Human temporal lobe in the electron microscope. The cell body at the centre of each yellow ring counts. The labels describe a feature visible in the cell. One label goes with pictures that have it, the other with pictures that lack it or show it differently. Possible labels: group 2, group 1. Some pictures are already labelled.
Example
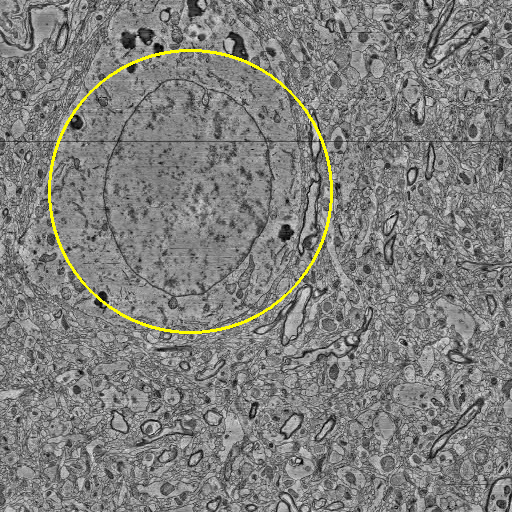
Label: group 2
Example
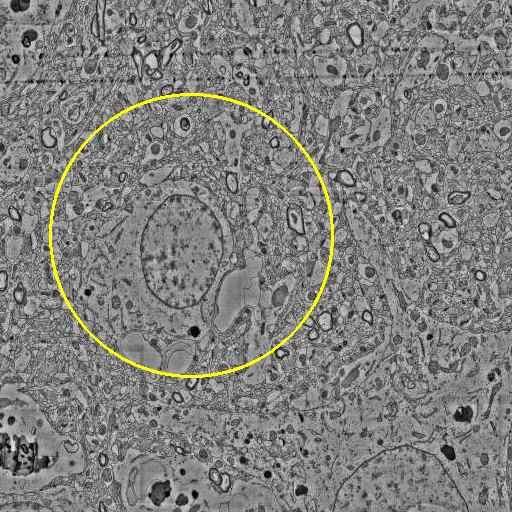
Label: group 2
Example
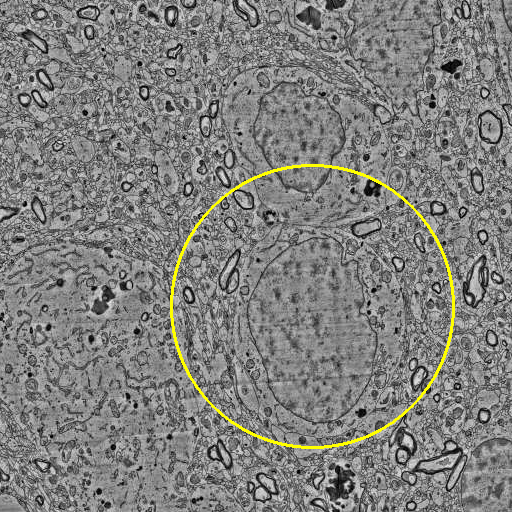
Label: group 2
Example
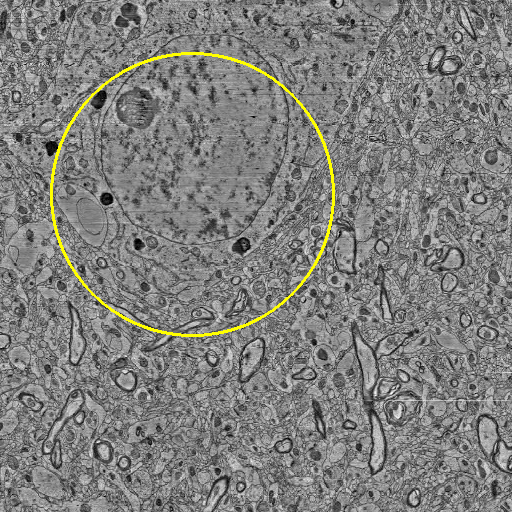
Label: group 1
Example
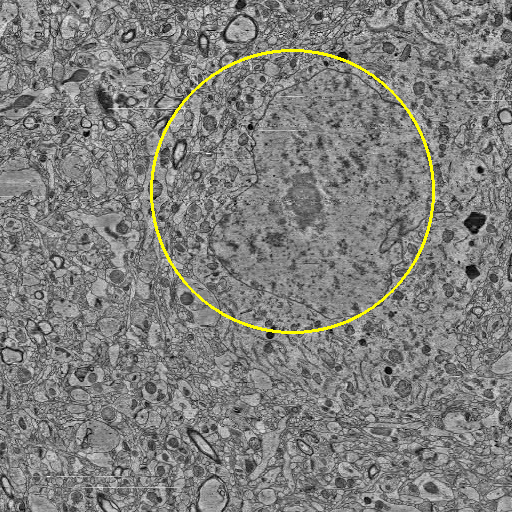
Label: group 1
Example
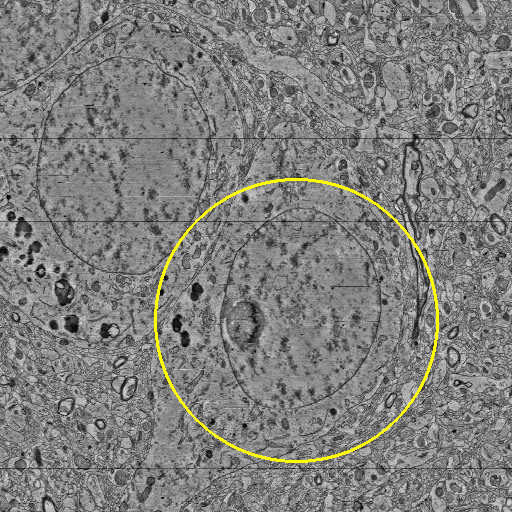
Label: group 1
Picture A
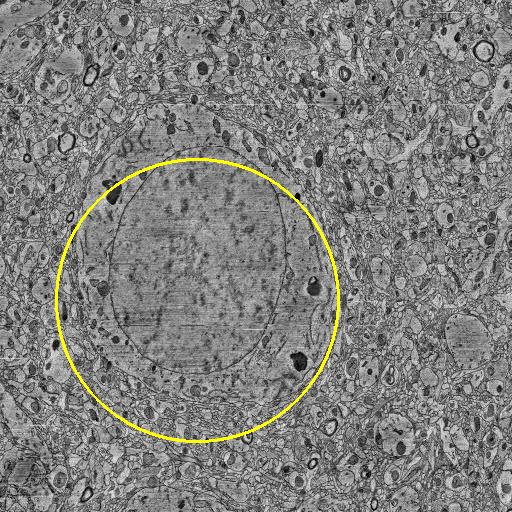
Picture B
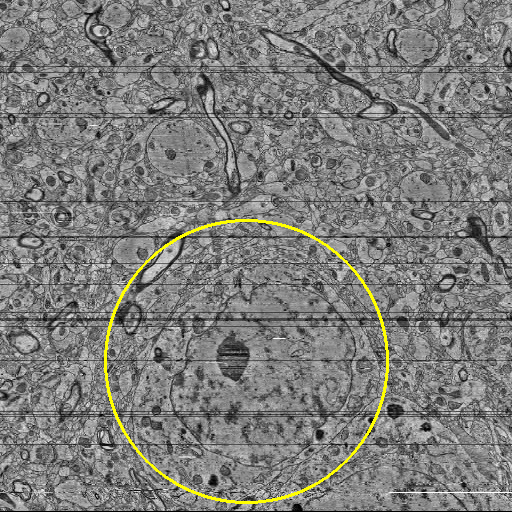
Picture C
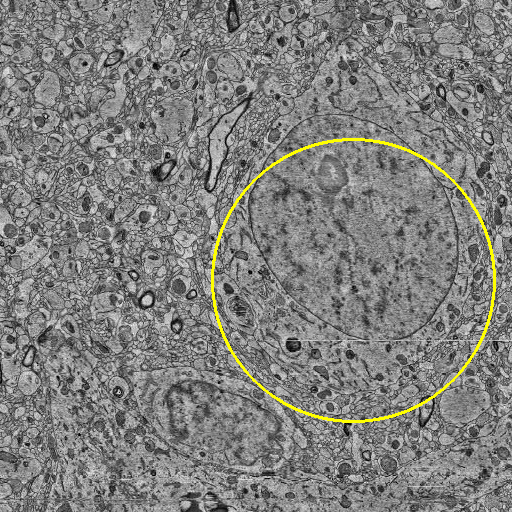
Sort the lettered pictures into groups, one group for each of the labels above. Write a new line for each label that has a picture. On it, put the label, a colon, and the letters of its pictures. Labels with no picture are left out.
group 2: A
group 1: B, C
